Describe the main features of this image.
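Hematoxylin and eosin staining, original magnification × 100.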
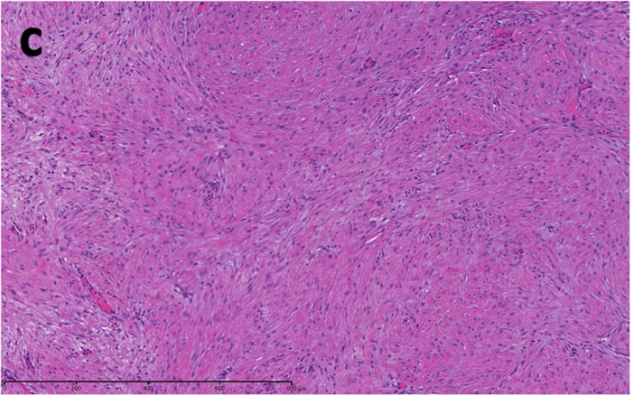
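This is a proliferation of spindle-shaped cells with elongated, tapered nuclei arranged in cords and sweeping fascicles. The nuclei are fairly uniform with little variation in size or shape.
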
